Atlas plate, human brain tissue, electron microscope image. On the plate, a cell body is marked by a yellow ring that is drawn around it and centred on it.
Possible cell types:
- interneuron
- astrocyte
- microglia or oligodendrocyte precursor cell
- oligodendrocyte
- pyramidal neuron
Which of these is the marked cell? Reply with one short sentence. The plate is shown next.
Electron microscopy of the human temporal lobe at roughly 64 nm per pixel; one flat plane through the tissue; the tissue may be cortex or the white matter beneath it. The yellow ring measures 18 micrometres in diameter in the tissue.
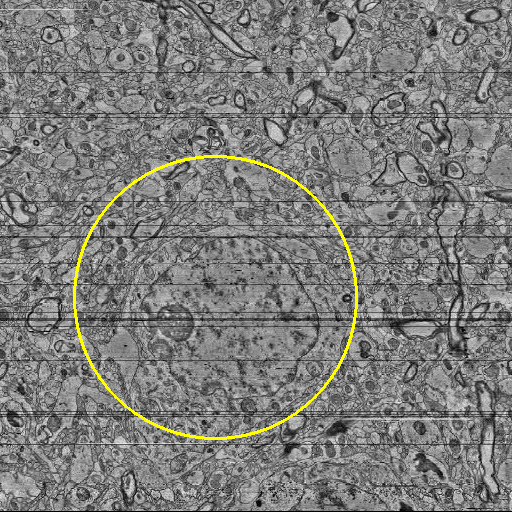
The marked cell is a pyramidal neuron.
